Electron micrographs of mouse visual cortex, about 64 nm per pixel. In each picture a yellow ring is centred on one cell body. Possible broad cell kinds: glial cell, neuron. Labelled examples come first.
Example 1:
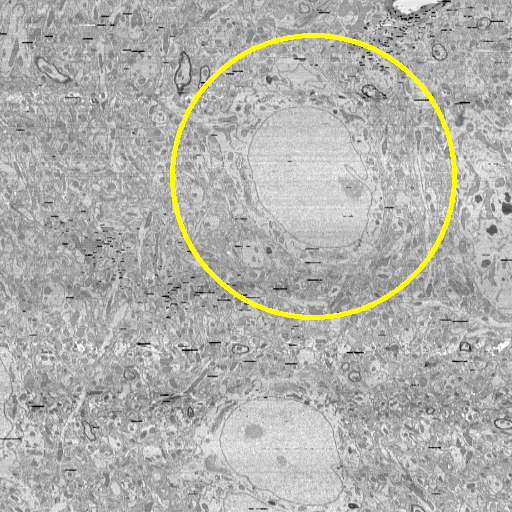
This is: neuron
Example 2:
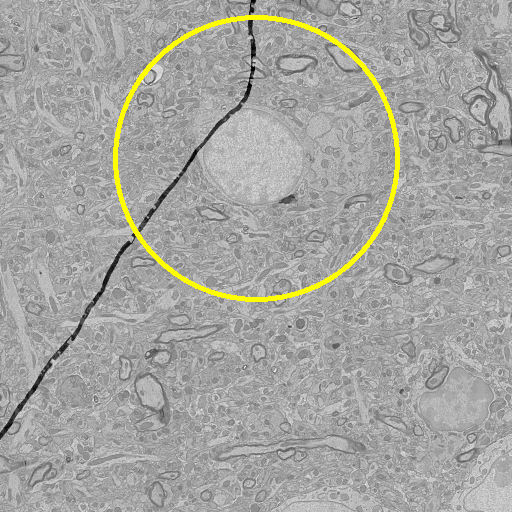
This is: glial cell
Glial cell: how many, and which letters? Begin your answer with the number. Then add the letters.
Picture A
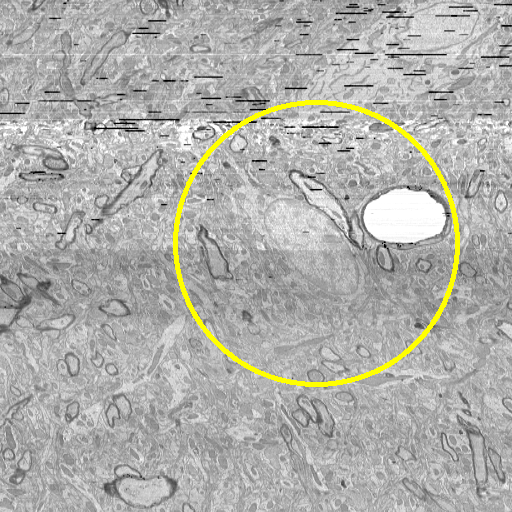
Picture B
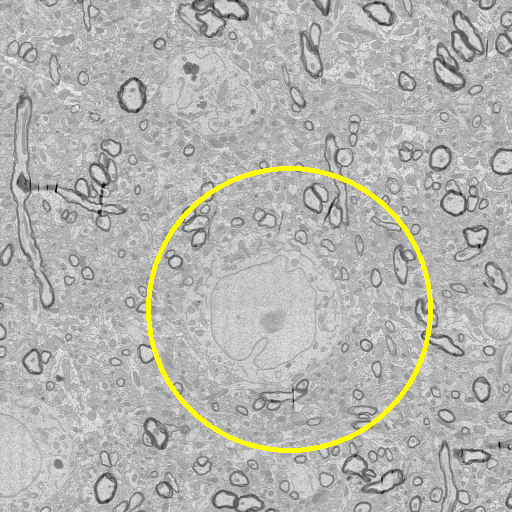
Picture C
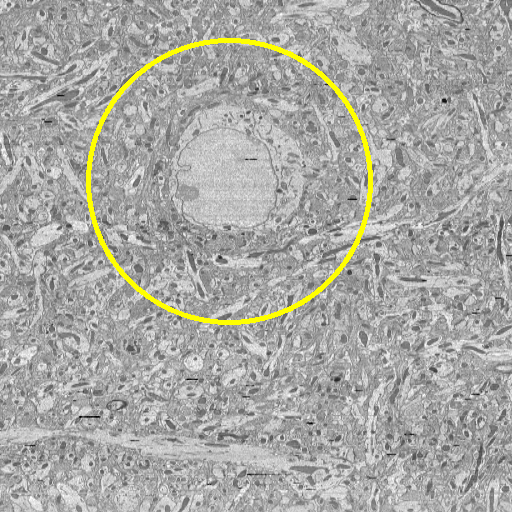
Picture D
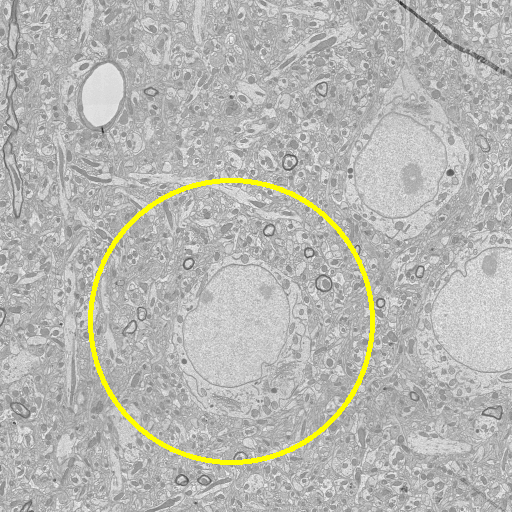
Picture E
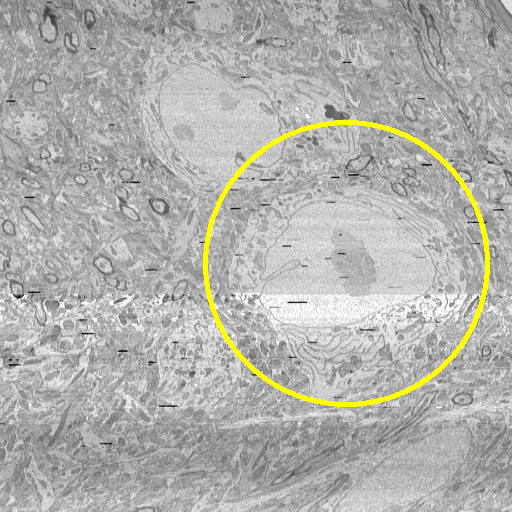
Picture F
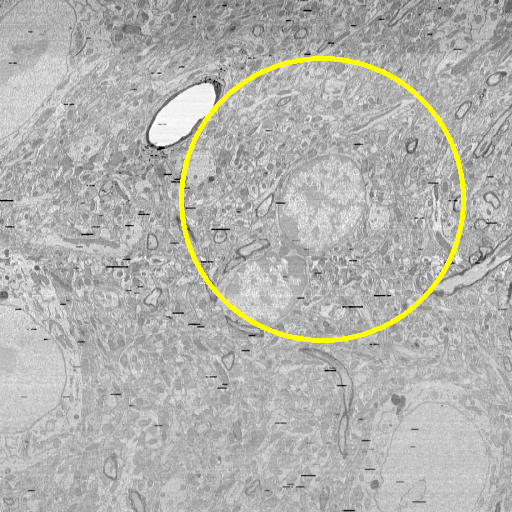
2: A, F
